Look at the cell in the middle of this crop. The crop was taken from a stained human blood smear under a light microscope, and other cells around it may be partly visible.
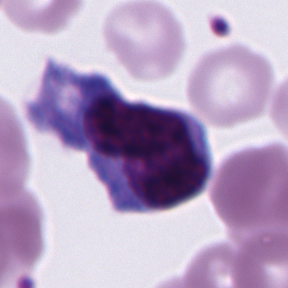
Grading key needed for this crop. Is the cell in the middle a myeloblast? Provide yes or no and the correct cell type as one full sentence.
No, the correct answer for the middle cell is a monocyte, not a myeloblast.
